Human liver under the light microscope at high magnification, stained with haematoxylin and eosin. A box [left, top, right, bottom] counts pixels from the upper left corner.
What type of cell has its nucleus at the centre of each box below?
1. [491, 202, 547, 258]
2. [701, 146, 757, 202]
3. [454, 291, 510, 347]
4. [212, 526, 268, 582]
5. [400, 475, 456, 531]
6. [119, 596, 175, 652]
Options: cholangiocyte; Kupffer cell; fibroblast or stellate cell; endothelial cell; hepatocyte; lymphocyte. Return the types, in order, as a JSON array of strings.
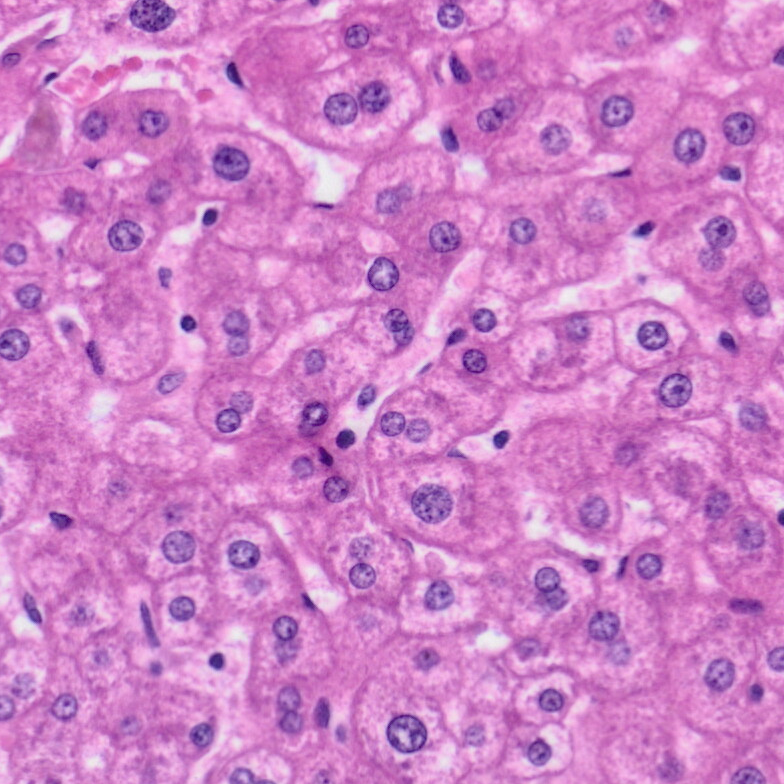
["hepatocyte", "endothelial cell", "hepatocyte", "hepatocyte", "hepatocyte", "Kupffer cell"]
